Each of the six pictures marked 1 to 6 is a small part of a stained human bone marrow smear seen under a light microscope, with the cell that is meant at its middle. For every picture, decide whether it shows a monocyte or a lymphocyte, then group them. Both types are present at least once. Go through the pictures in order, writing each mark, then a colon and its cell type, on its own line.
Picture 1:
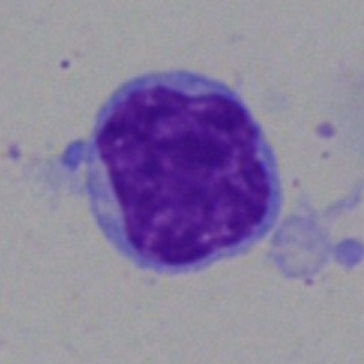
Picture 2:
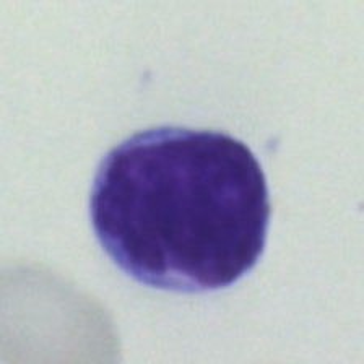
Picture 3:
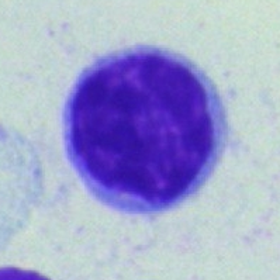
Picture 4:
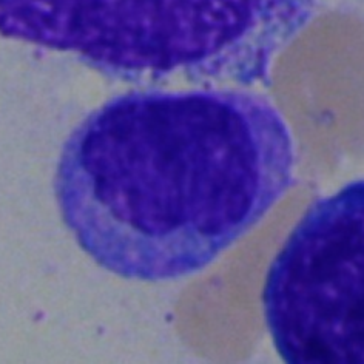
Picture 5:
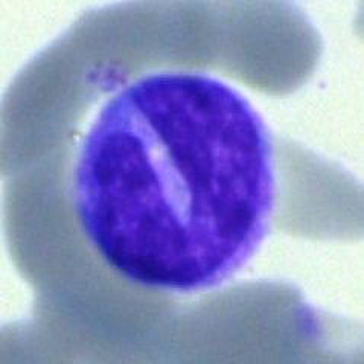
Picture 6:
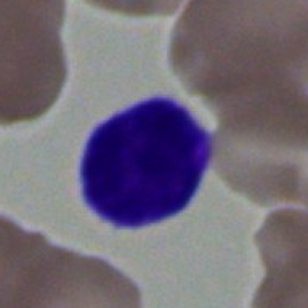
1: lymphocyte
2: lymphocyte
3: lymphocyte
4: monocyte
5: monocyte
6: lymphocyte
